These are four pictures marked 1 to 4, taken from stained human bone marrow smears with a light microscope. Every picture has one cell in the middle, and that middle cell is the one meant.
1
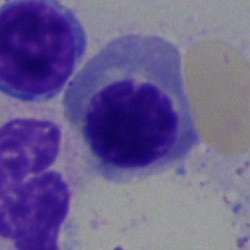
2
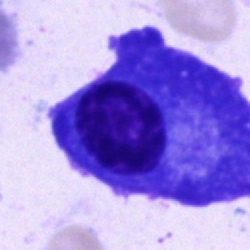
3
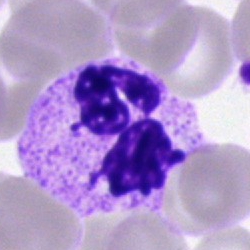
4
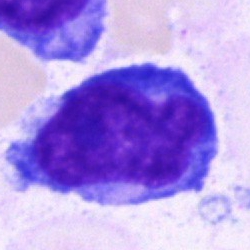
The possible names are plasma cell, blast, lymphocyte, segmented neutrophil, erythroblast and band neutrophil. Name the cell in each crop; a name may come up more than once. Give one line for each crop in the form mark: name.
1: erythroblast
2: plasma cell
3: segmented neutrophil
4: blast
